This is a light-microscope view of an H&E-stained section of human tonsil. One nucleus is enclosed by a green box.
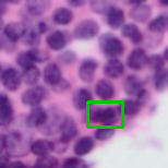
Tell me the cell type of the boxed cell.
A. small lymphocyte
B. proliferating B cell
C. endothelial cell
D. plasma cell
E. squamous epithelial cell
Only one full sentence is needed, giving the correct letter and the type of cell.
Option A, identifying the boxed cell as a small lymphocyte, is correct.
